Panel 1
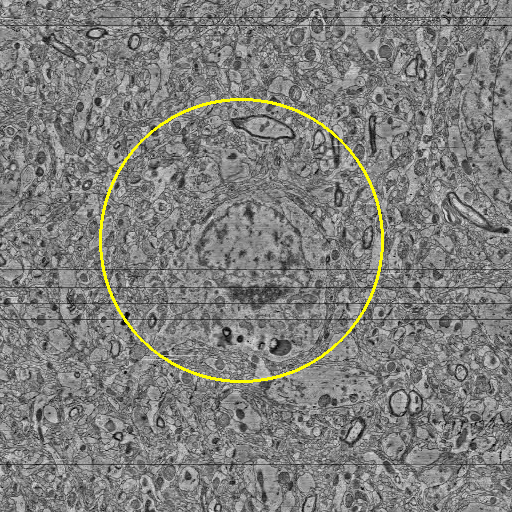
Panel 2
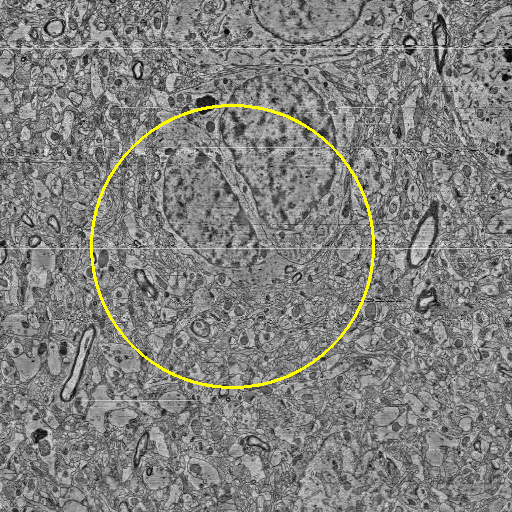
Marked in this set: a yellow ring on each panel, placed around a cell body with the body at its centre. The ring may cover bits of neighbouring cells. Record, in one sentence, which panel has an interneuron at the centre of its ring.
Panel 1 has it at the centre of its ring.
